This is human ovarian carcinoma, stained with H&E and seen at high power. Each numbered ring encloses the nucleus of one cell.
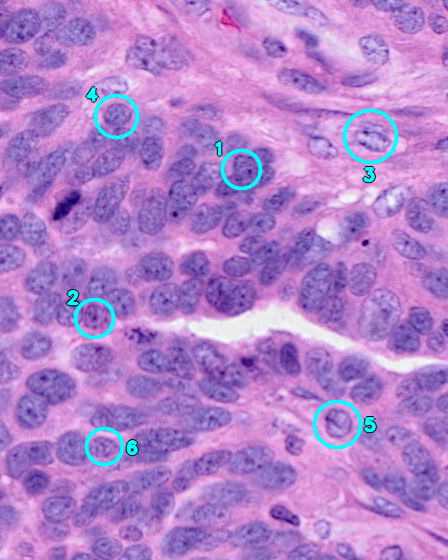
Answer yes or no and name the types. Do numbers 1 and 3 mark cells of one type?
No, unlike cell 1, which is a carcinoma cell, cell 3 is a fibroblast.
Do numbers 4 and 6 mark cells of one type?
Yes, note that cells 4 and 6 are both carcinoma cells.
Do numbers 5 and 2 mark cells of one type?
No, cell 5 is a fibroblast, and cell 2, for its part, is a carcinoma cell.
